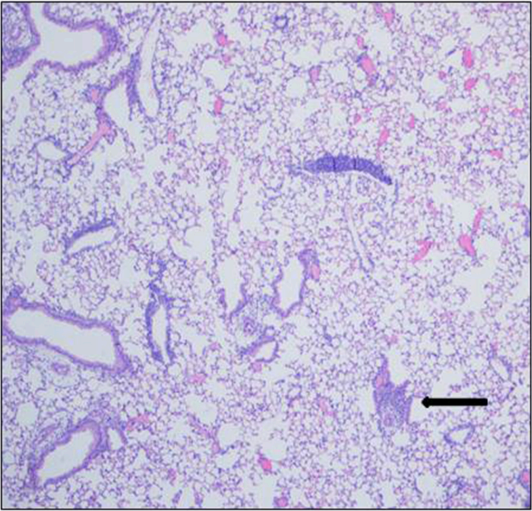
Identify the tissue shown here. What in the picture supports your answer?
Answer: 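A fine lacy network of thin-walled airspaces fills the section. Larger tubular airways and vessels with pink-filled lumens are scattered through it.
Lungs.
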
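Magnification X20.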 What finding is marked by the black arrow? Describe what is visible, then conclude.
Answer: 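The arrow points at a small dense cluster of dark purple nuclei beside an airway. Most other airways and vessels lack such dense cuffs.
Inflammation.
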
